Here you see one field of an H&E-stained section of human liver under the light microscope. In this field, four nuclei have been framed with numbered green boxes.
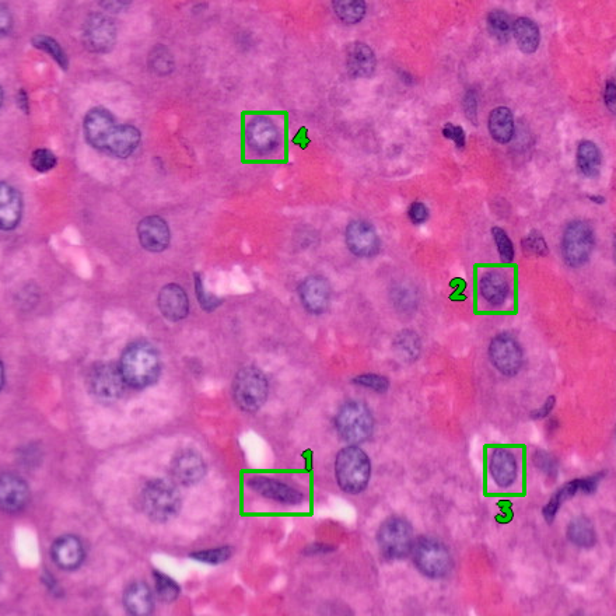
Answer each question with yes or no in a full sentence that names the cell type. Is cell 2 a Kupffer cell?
No, cell number 2 is a hepatocyte; it is not a Kupffer cell.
